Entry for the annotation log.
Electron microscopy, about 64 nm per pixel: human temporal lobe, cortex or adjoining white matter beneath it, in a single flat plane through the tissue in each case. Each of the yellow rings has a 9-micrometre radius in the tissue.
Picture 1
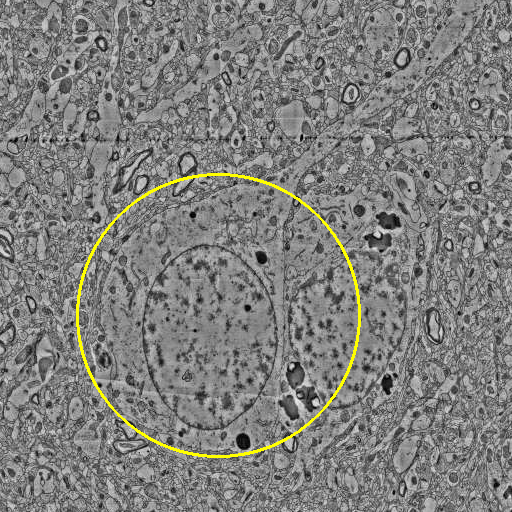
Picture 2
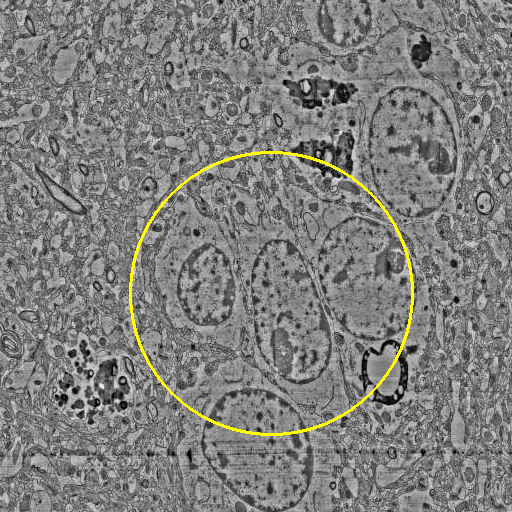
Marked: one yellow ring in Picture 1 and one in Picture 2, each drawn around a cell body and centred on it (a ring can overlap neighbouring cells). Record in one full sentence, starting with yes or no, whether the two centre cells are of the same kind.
No, the two cells are of two kinds.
